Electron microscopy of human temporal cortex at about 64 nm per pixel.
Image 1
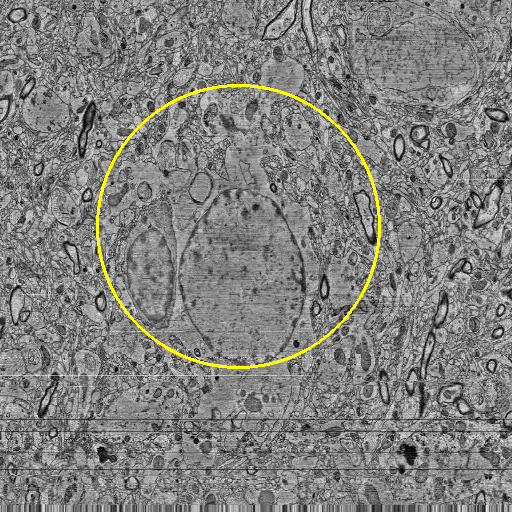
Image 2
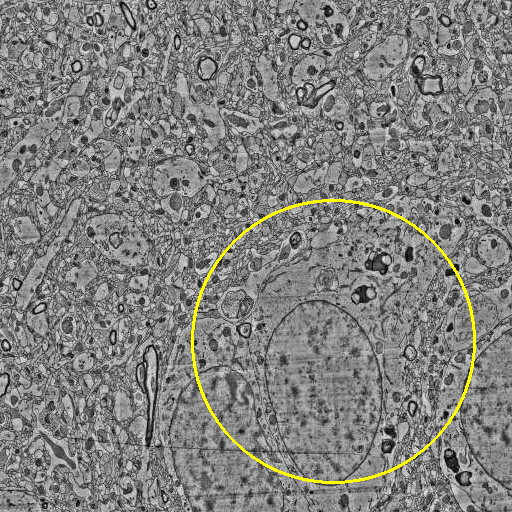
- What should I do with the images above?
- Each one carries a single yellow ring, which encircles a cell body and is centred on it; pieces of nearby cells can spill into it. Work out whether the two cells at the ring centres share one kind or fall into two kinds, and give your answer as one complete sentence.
The ring-centre cells of Image 1 and Image 2 fall into two kinds.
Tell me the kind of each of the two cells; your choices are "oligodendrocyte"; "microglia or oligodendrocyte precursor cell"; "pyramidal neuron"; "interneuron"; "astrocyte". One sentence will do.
The ringed cell is an astrocyte in the first picture and a pyramidal neuron in the second picture.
